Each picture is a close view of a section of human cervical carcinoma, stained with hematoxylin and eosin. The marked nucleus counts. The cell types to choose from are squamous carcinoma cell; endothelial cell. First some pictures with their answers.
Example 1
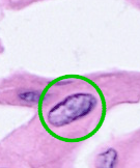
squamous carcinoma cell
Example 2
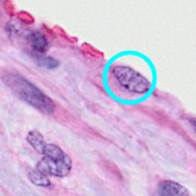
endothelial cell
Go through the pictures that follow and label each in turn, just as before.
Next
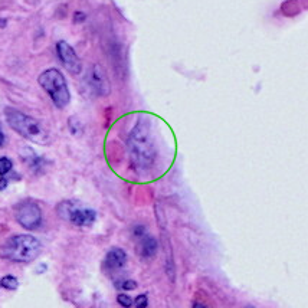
endothelial cell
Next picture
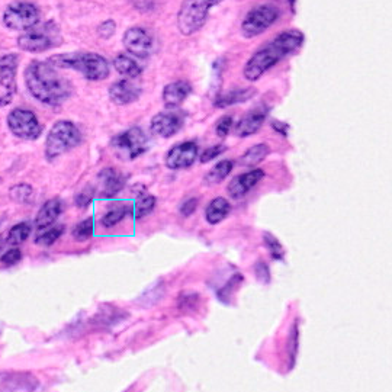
squamous carcinoma cell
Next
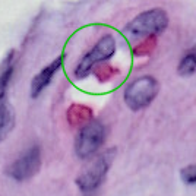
endothelial cell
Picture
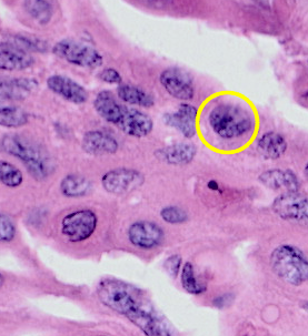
squamous carcinoma cell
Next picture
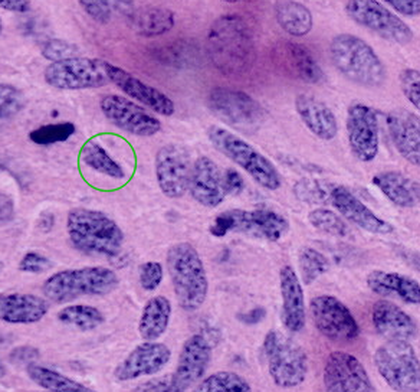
squamous carcinoma cell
